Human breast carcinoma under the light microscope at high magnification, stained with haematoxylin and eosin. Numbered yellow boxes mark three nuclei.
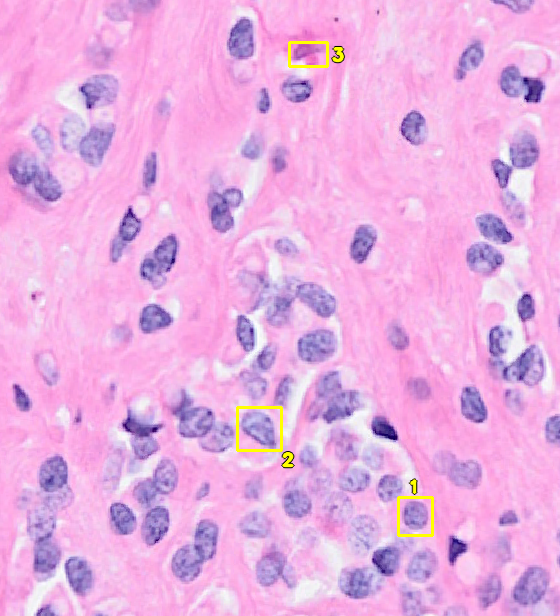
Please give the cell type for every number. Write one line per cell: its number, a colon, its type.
1: carcinoma cell
2: carcinoma cell
3: endothelial cell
